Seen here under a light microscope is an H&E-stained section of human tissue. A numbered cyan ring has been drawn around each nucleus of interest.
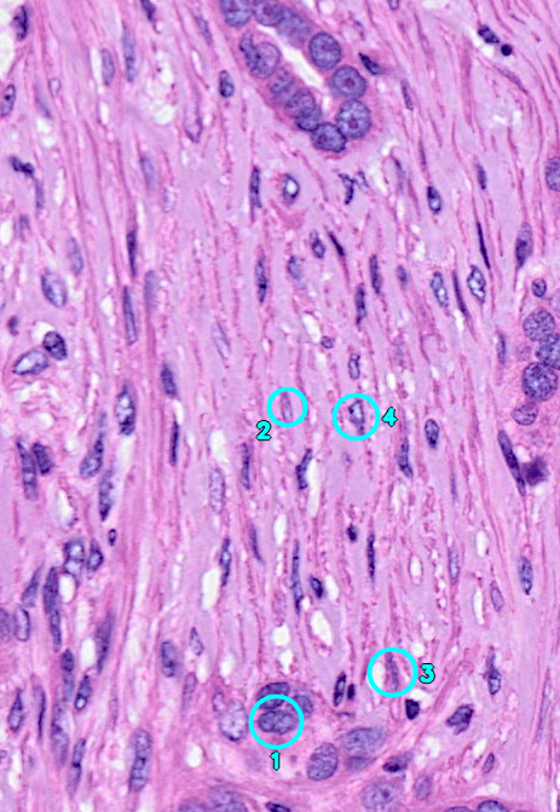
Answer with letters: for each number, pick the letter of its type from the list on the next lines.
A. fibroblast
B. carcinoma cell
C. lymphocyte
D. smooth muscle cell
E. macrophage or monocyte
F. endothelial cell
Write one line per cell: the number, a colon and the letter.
1: B
2: A
3: A
4: A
